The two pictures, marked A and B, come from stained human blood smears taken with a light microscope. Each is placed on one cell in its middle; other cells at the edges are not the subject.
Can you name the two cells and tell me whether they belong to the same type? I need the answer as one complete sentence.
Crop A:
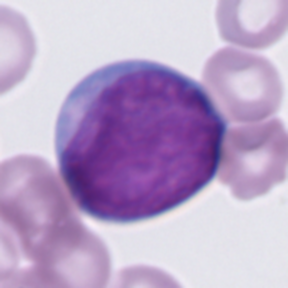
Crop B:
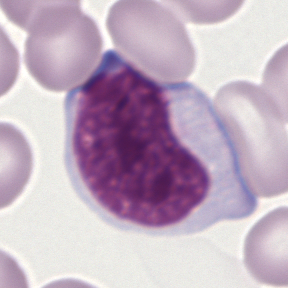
No, the cell shown in crop A is a myeloblast, and the cell shown in crop B is a typical lymphocyte.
